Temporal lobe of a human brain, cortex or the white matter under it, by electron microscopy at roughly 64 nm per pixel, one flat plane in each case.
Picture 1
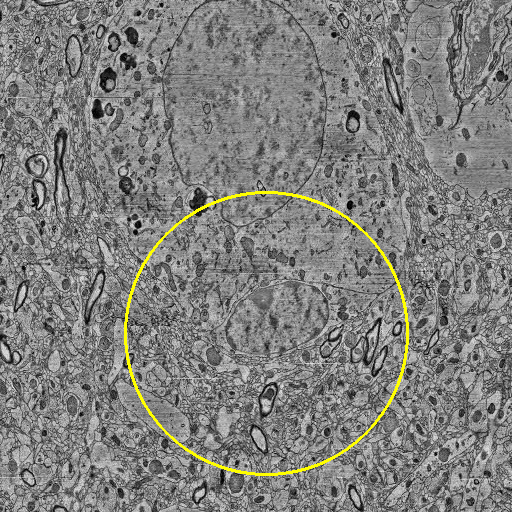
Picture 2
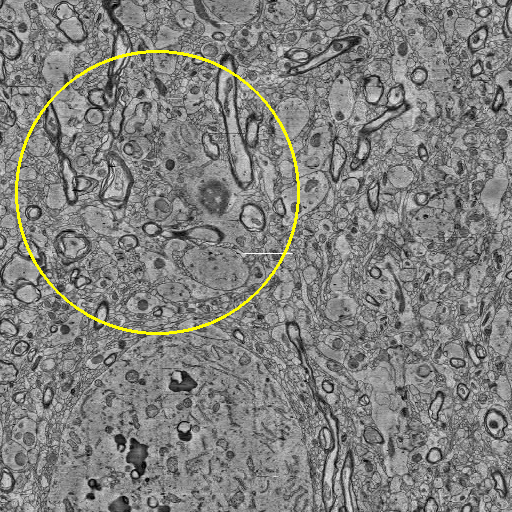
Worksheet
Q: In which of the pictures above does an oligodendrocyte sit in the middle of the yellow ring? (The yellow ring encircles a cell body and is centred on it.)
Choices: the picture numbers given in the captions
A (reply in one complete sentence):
In picture 2, the cell sitting at the centre of the ring is the match.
